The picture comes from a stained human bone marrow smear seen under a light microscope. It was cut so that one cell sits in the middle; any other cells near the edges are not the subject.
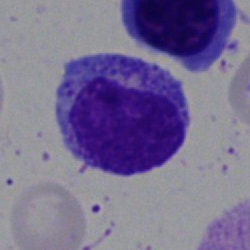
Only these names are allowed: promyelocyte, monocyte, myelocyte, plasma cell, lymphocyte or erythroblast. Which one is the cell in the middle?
myelocyte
